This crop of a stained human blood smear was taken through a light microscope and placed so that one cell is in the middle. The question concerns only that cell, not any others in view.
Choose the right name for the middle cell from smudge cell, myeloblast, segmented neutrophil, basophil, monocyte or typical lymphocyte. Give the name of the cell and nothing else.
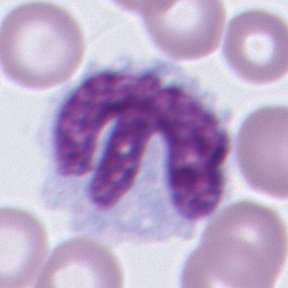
monocyte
